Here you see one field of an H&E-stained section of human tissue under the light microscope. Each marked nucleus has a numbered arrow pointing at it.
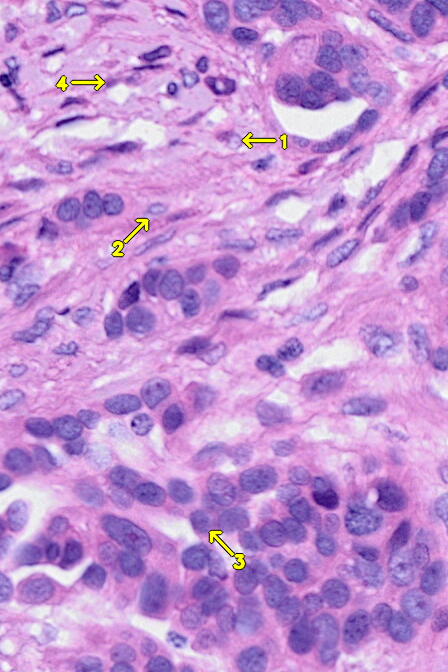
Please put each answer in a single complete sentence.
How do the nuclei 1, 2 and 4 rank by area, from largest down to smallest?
The nuclei rank 1, 2, 4, from largest to smallest.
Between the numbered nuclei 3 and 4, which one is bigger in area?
Nucleus 3 is the larger one, covering about 4 times the area of nucleus 4.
